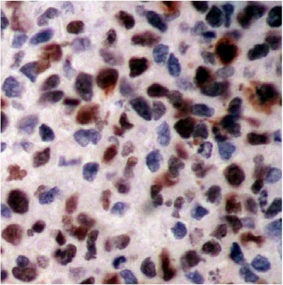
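This is a field of tumour tissue made of tightly packed tumour cells lying in solid sheets, with no recognisable organ architecture. Many nuclei are stained brown, some lightly and some a deep dark brown; the rest are blue from the counterstain. The brown nuclei are scattered evenly across the whole field rather than gathered in one area, showing that a large share of these cells are marked.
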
